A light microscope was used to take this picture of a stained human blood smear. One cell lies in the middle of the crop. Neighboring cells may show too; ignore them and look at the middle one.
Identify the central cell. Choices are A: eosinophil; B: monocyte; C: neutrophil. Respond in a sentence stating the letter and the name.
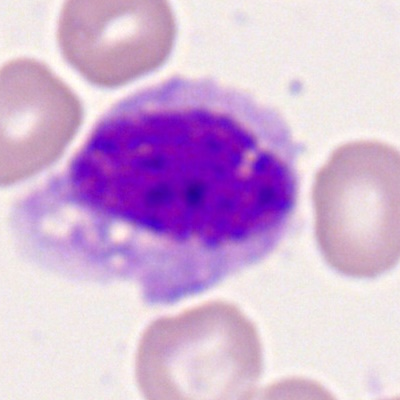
That the central cell is a monocyte makes option B correct.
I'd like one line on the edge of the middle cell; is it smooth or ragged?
The periphery of this cell is uneven, with ragged portions or projections.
